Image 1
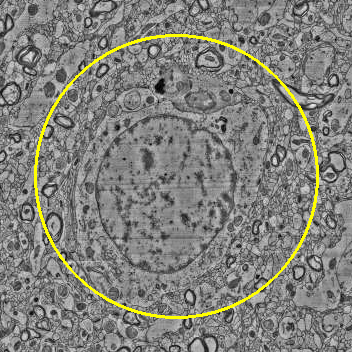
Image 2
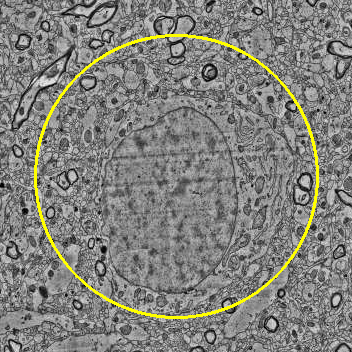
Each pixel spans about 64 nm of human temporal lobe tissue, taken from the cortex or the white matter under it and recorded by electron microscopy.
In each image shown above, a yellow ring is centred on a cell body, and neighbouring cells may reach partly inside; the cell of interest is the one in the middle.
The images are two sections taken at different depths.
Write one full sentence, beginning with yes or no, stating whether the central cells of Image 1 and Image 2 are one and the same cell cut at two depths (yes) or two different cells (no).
No, the circled cells number two, not one.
